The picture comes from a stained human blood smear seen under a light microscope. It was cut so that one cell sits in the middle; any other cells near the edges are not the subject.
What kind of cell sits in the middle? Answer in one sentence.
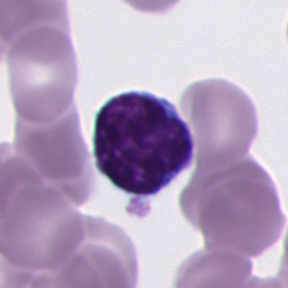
The cell at the heart of this crop is a typical lymphocyte.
